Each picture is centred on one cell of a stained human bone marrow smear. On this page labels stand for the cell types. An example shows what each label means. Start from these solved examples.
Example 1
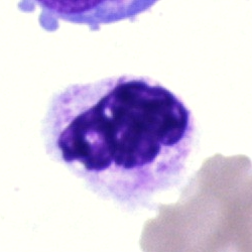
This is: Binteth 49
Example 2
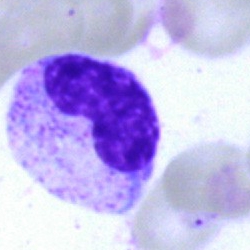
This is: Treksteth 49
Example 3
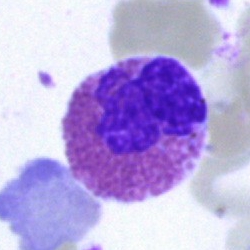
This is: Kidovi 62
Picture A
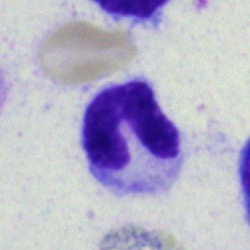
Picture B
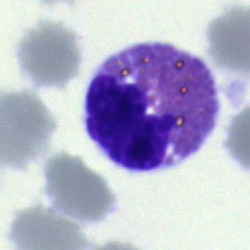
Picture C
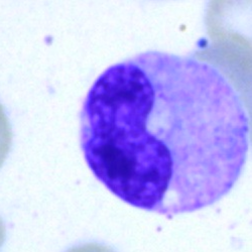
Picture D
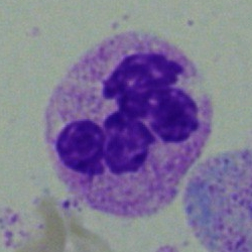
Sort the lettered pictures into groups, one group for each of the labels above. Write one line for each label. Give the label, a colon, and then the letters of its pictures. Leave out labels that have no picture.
Binteth 49: D
Treksteth 49: A, C
Kidovi 62: B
